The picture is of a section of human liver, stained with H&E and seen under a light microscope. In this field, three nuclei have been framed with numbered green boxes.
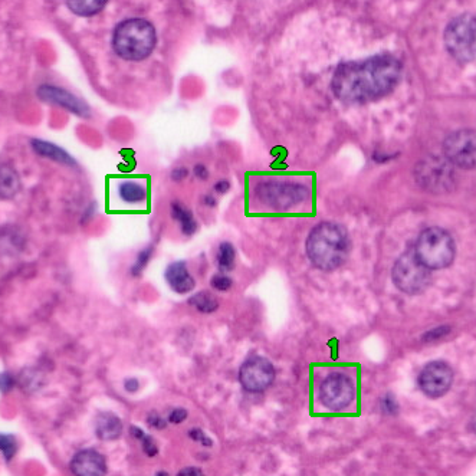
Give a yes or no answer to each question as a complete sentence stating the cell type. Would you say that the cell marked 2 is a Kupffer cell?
Yes, it is a Kupffer cell that number 2 identifies.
